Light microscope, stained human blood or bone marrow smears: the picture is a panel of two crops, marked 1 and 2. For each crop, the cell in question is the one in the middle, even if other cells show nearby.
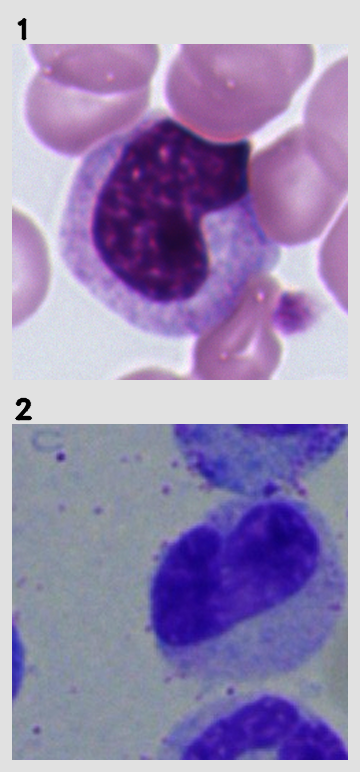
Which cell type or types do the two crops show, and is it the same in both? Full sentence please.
Yes, the two crops are alike in showing band neutrophils.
